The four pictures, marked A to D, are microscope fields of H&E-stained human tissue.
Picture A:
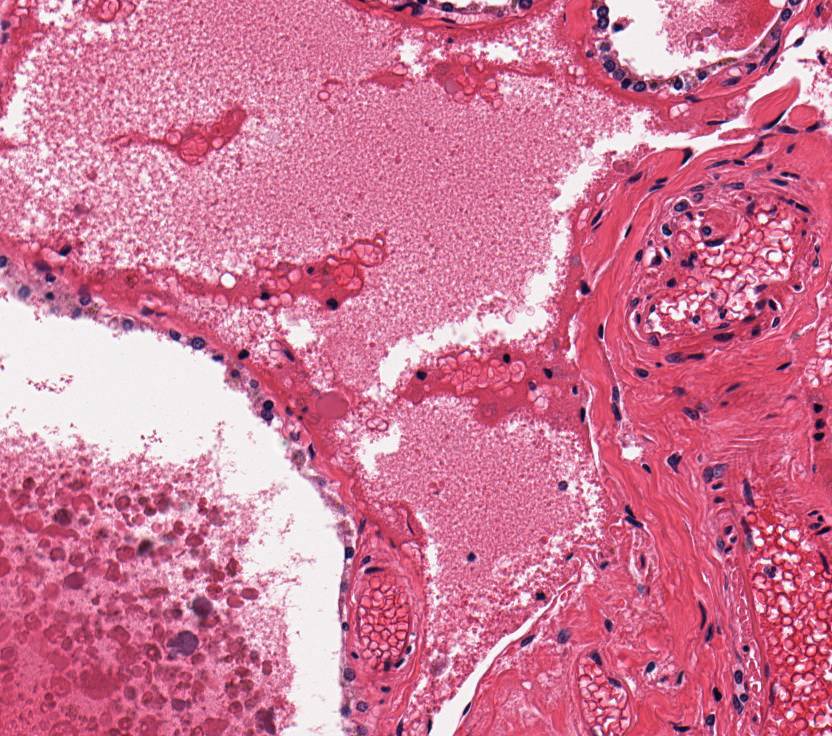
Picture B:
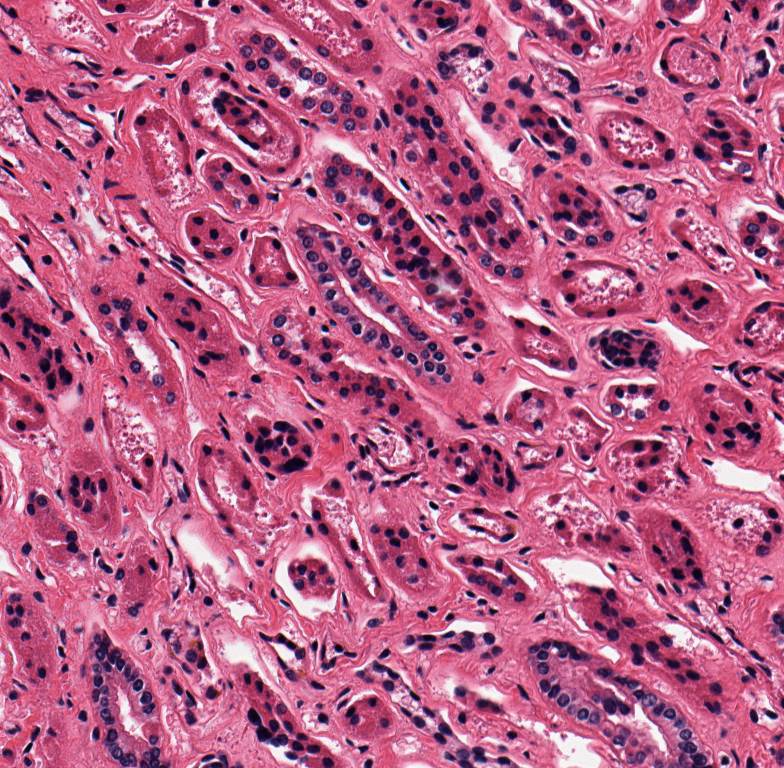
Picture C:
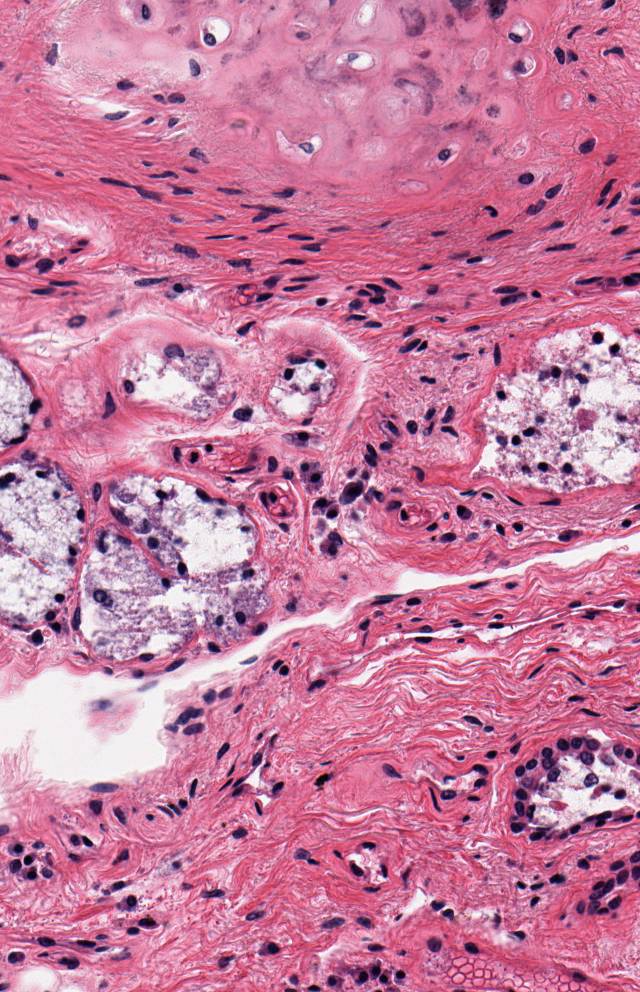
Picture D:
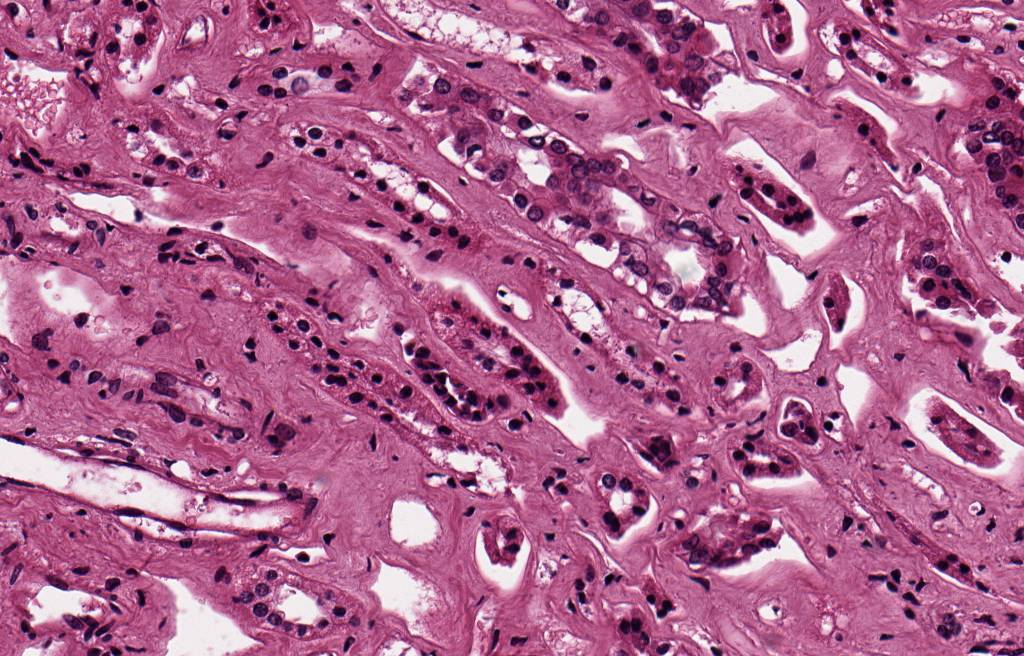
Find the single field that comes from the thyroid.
A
